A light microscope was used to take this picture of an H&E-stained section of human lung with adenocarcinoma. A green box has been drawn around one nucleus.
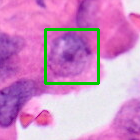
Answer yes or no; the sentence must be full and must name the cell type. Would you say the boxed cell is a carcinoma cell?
Yes, the boxed cell is a carcinoma cell; nothing to add.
